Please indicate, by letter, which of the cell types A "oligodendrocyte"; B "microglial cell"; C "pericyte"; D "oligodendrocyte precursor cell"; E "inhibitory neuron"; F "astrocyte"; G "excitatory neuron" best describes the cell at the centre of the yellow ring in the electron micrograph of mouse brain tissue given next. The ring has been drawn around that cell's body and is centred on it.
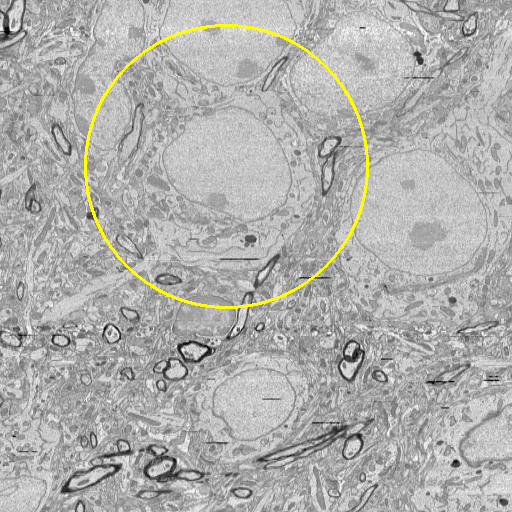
G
